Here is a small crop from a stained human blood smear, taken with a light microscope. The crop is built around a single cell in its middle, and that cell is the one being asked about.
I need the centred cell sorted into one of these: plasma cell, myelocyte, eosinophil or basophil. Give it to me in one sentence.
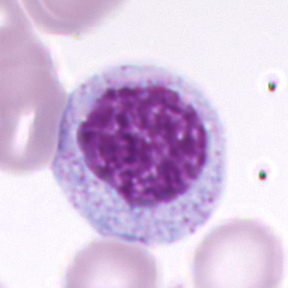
Classification of the middle cell gives a myelocyte.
